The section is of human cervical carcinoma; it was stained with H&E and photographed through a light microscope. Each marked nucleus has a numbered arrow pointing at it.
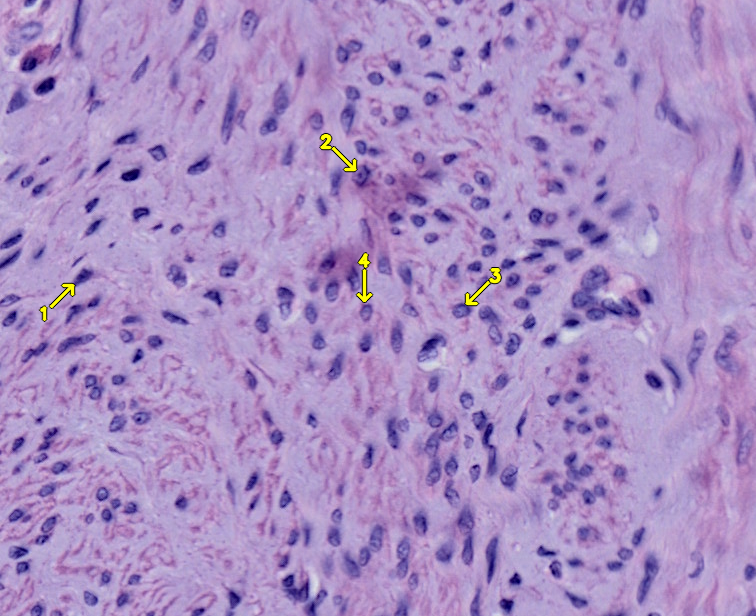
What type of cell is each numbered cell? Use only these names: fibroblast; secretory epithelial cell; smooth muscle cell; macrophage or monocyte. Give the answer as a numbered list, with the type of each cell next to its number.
1. fibroblast
2. smooth muscle cell
3. smooth muscle cell
4. smooth muscle cell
